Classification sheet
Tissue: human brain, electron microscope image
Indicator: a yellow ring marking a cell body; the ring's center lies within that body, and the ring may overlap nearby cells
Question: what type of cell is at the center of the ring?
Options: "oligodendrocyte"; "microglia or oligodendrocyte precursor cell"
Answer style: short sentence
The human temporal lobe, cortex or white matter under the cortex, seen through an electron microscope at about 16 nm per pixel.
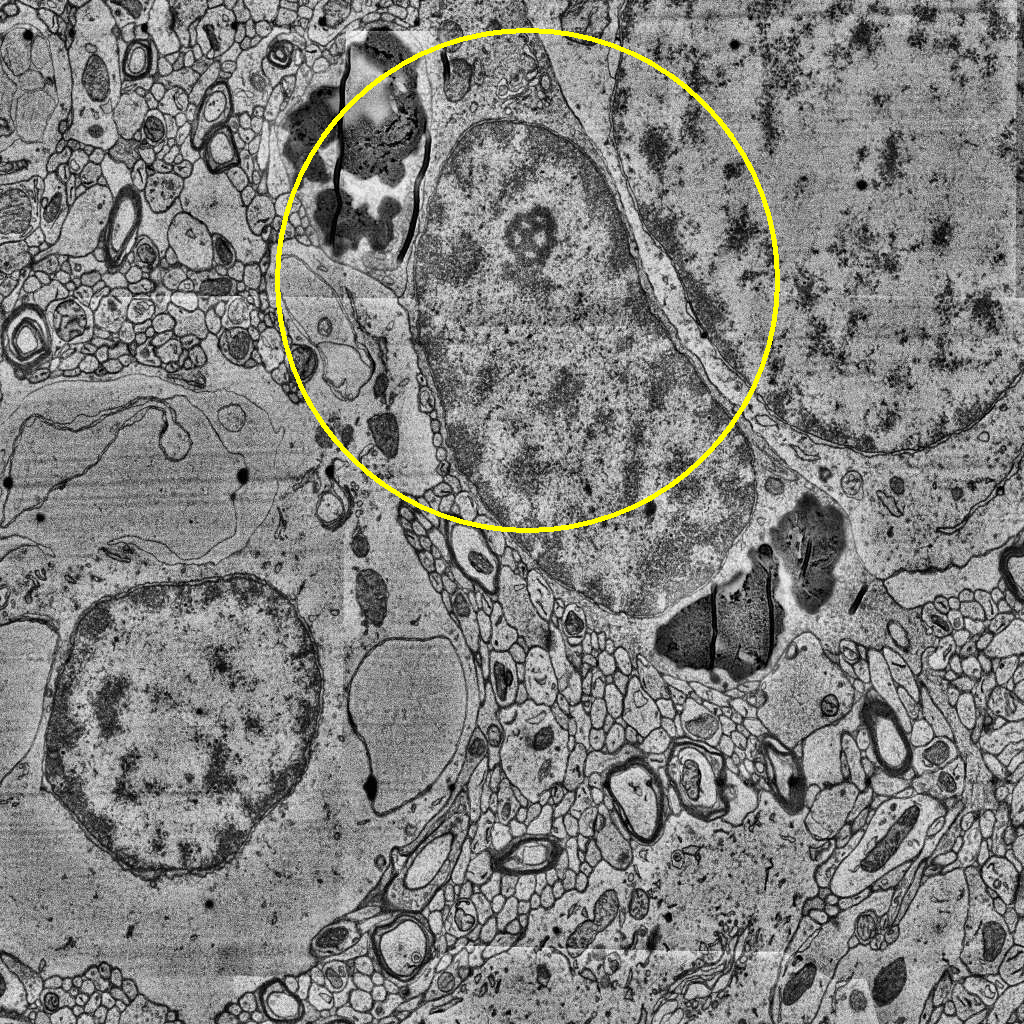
At the ring's center is a microglial cell or oligodendrocyte precursor cell.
